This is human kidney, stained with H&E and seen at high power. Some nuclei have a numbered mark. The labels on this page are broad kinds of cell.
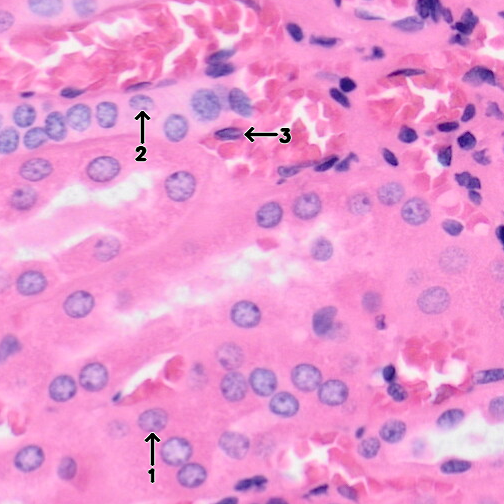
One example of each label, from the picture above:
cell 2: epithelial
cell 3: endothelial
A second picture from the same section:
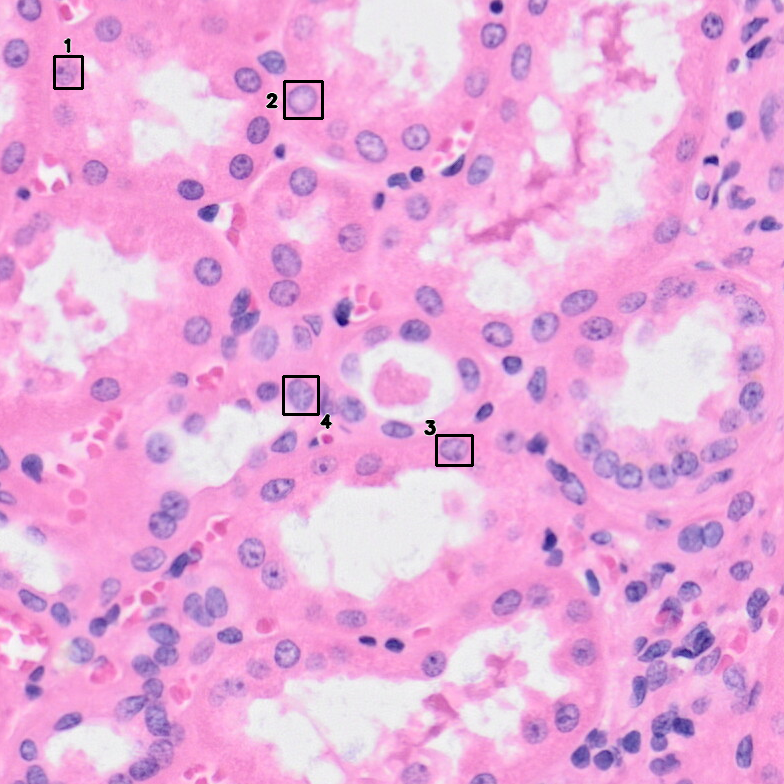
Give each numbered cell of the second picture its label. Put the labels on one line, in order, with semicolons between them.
epithelial; epithelial; epithelial; epithelial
